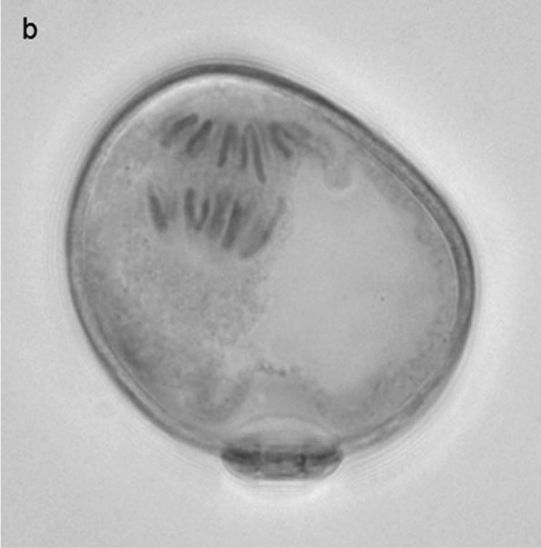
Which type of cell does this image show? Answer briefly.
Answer: pollen cells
